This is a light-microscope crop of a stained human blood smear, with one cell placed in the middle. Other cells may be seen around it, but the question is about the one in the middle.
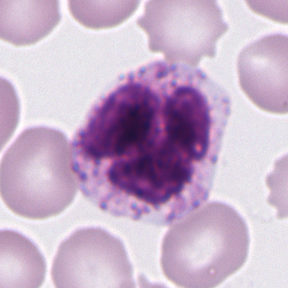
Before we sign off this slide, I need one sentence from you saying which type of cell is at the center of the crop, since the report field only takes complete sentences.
Present in the middle of the crop is a basophil.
